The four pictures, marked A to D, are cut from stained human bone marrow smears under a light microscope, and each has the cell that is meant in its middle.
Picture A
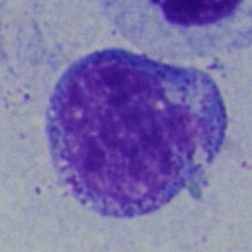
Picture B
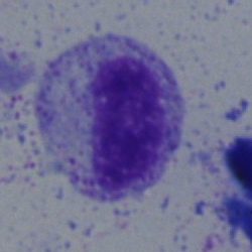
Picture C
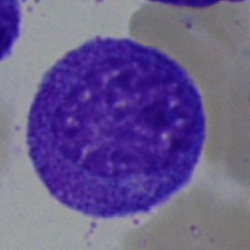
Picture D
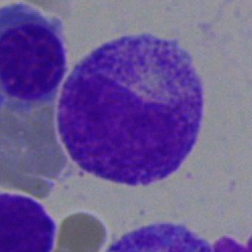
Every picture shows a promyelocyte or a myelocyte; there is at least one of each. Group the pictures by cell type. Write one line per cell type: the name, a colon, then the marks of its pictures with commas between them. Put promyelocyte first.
promyelocyte: A, C
myelocyte: B, D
